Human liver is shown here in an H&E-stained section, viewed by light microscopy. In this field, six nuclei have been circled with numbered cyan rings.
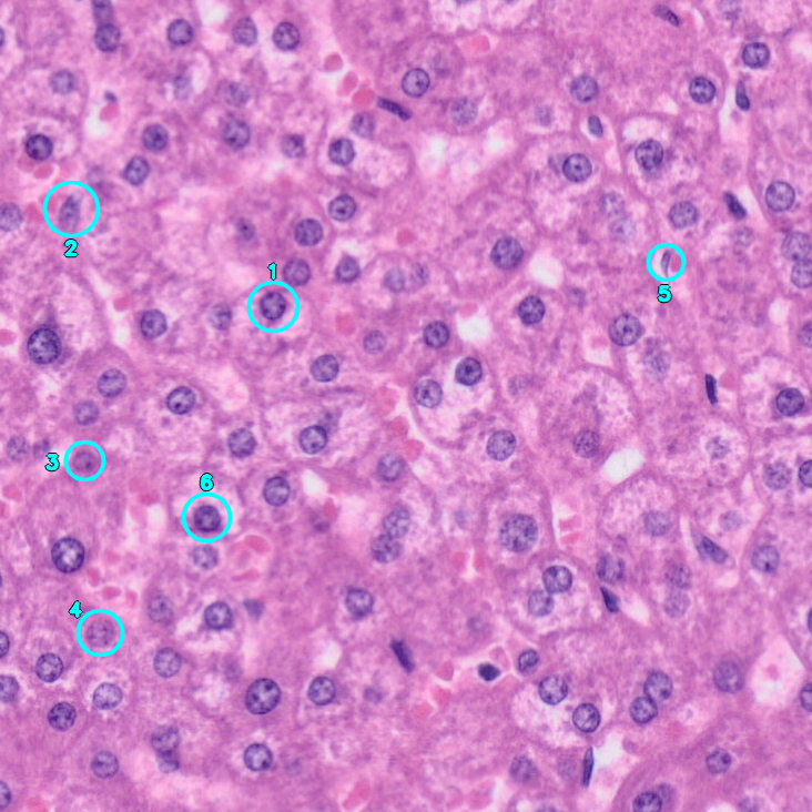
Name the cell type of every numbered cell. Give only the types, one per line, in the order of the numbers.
hepatocyte
Kupffer cell
hepatocyte
hepatocyte
endothelial cell
hepatocyte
